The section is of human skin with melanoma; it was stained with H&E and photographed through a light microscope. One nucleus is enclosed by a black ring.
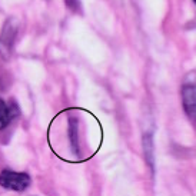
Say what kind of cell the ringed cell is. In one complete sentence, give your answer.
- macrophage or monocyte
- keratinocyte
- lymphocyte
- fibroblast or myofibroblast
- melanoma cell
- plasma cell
Speaking plainly, the ringed cell is nothing other than a fibroblast or myofibroblast.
